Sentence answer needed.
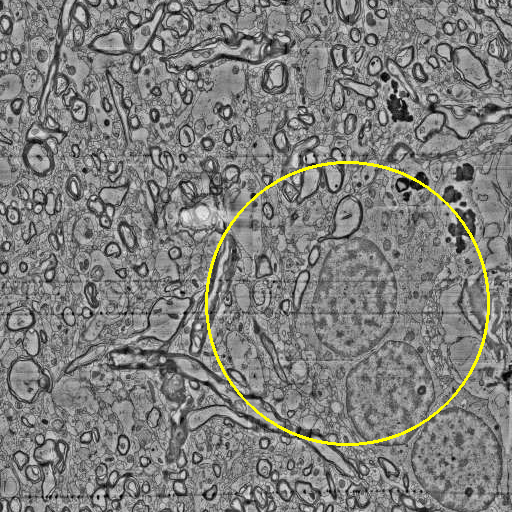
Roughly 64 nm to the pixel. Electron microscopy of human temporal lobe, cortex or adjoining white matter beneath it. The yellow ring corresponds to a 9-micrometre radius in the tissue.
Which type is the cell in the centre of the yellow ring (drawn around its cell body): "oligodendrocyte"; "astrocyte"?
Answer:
In the centre of the yellow ring is an oligodendrocyte.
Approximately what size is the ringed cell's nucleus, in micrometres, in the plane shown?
In this plane, roughly 8 by 5 micrometres.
